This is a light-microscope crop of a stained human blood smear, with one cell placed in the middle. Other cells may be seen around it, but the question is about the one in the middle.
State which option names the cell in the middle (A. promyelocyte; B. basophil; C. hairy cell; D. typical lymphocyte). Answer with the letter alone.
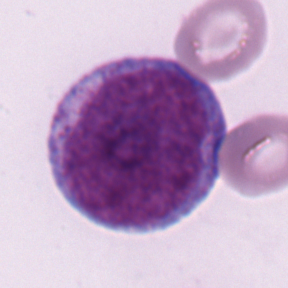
A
